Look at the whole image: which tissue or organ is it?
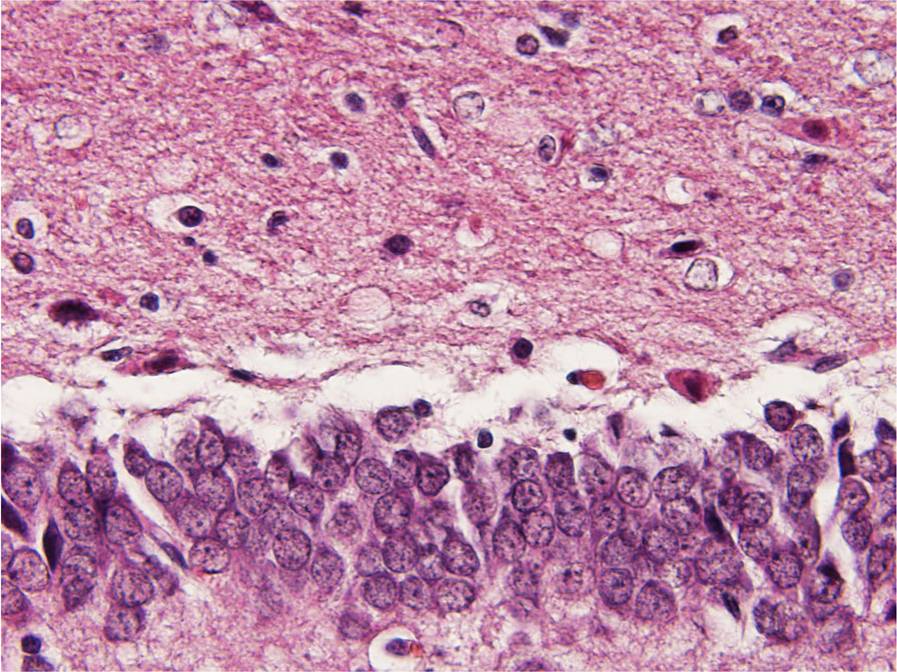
dentate gyrus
